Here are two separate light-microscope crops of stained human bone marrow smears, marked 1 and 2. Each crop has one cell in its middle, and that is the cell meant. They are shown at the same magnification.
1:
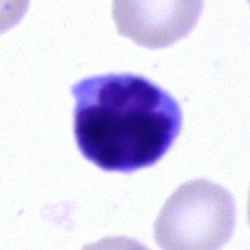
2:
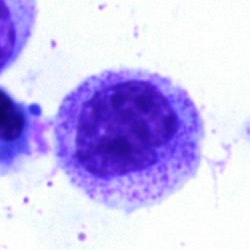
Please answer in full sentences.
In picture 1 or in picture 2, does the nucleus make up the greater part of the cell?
In picture 1 the nucleus takes up the larger part of its cell.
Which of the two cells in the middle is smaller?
The cell in picture 1 is smaller; the one in picture 2 has about 2 times its area.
